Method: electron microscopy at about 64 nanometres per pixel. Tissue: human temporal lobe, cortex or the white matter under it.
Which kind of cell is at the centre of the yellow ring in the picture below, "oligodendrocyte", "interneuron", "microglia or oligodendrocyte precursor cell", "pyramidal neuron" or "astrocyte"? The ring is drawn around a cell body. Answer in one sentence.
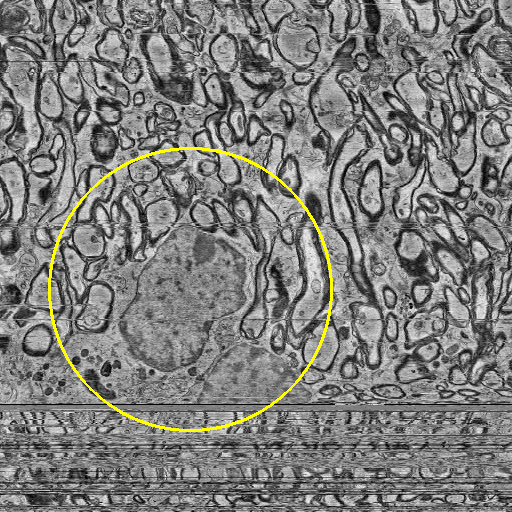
The ring's central cell is a microglial cell or oligodendrocyte precursor cell.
